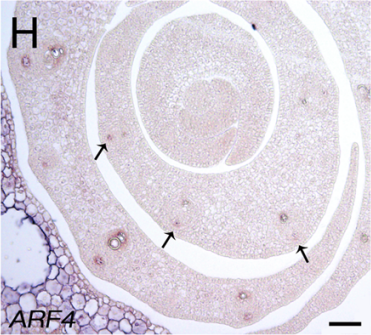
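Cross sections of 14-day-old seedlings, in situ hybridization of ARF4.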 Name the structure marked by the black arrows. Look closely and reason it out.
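The arrows point to small round clusters of small cells within a leaf primordium. These clusters are spaced regularly along the curved primordium.
Answer: vascular bundles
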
